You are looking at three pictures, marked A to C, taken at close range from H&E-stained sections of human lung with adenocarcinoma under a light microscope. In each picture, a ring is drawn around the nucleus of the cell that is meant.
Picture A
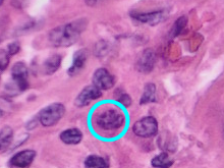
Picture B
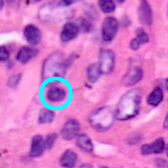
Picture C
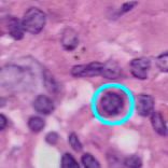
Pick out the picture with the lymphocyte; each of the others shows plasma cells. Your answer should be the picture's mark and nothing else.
B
